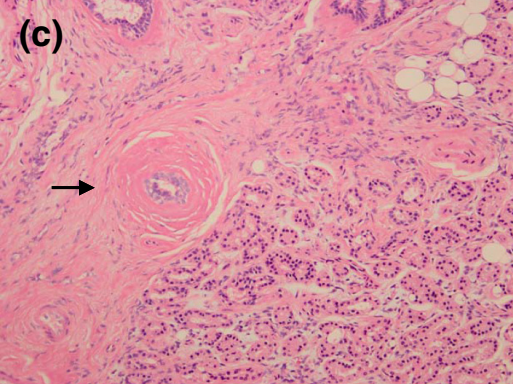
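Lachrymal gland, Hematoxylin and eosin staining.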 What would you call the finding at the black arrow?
Periductal sclerotic fibrosis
